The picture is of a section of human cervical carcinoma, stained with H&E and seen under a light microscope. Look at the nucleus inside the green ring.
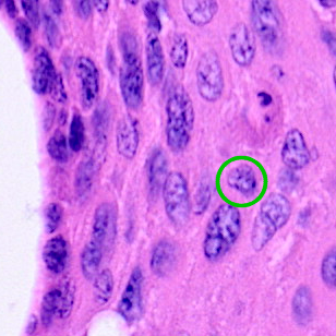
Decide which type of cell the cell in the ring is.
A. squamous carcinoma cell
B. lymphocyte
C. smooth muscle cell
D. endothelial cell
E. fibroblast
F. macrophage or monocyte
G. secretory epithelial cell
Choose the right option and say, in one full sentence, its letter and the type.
Option A correctly identifies the cell in the ring as a squamous carcinoma cell.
